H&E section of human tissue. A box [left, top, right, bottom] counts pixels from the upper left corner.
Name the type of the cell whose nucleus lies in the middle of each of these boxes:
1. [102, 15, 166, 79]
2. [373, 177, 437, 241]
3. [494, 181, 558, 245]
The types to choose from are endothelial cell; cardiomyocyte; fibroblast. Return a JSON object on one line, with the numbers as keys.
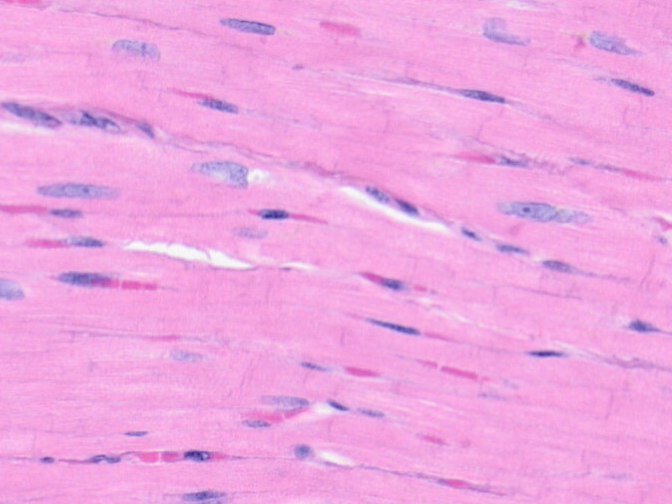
{"1": "cardiomyocyte", "2": "endothelial cell", "3": "cardiomyocyte"}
